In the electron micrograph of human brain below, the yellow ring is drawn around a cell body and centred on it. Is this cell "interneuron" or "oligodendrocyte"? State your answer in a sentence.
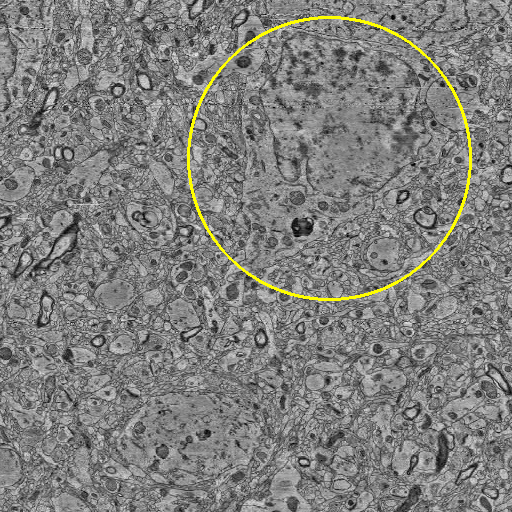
The cell in the middle of the ring is an interneuron.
